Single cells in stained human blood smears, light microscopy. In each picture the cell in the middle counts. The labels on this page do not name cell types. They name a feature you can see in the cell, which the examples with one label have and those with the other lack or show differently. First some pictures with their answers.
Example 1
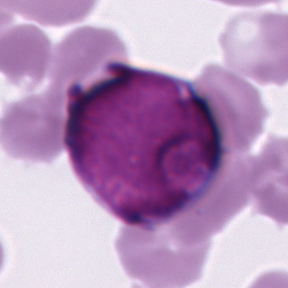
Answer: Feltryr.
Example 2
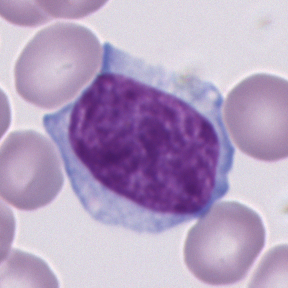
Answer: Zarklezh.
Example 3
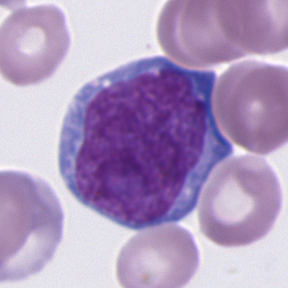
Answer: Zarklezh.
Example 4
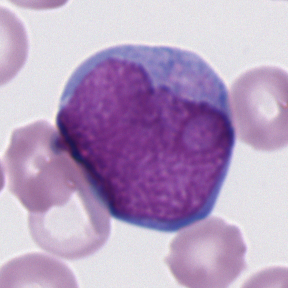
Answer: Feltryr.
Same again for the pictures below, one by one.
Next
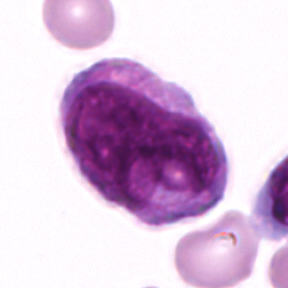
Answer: Feltryr.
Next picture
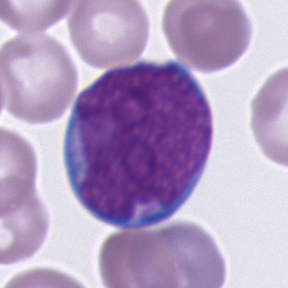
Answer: Feltryr.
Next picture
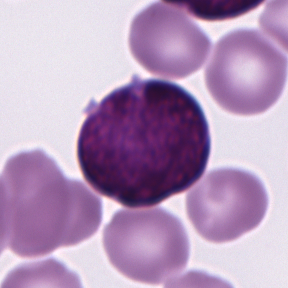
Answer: Zarklezh.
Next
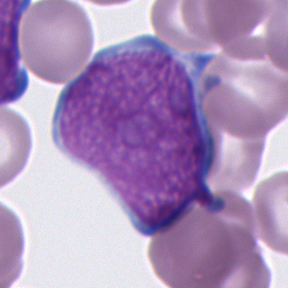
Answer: Feltryr.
